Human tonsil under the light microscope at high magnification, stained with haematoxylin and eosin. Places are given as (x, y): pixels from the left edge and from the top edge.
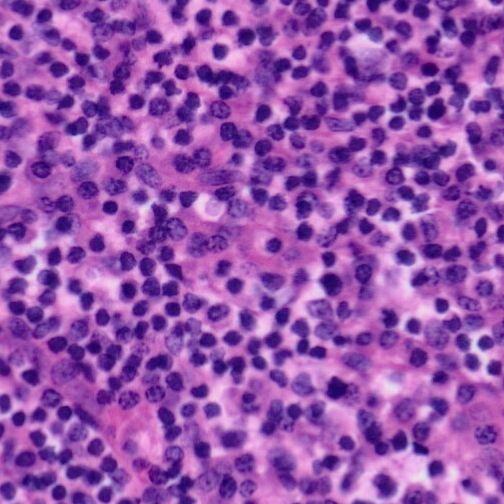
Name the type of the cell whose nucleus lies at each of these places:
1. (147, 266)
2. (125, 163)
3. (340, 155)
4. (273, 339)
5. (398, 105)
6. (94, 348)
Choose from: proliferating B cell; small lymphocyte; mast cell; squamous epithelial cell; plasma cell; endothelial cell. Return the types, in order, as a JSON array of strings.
["small lymphocyte", "plasma cell", "plasma cell", "small lymphocyte", "small lymphocyte", "small lymphocyte"]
